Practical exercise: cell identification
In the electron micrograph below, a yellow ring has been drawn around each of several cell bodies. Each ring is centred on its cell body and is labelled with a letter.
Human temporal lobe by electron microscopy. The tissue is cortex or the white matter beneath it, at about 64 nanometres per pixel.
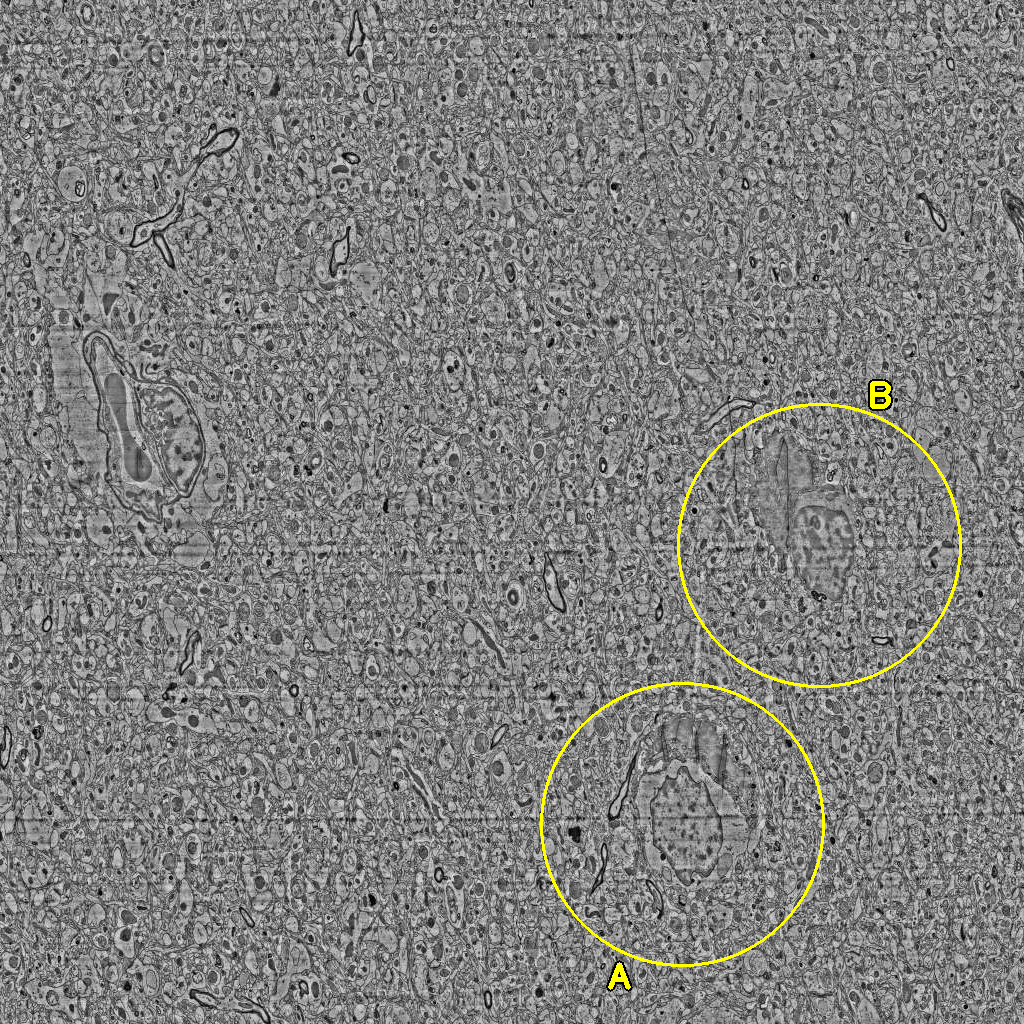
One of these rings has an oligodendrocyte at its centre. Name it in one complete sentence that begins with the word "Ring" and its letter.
Ring B has that cell at its centre.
